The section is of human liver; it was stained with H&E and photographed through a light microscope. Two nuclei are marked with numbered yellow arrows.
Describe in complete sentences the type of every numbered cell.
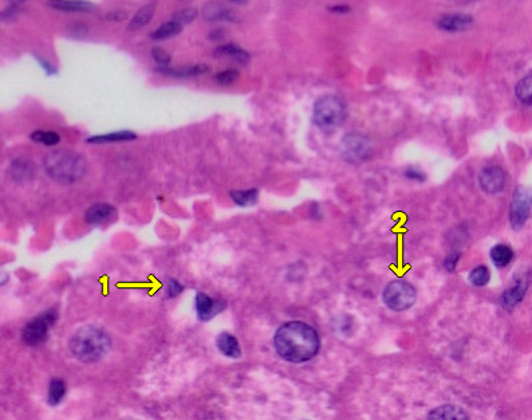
Cell 1 is a fibroblast or stellate cell and cell 2 is a hepatocyte.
